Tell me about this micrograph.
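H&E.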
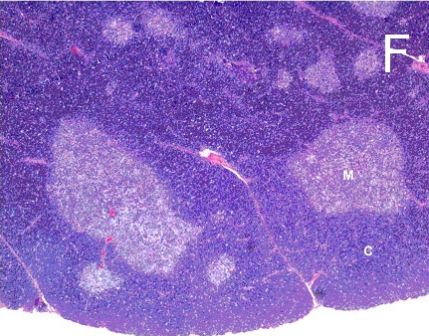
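Thymic lobules show a dense dark purple outer zone of tightly packed lymphocytes surrounding pale, less cellular central islands, with thin septa and small vessels between lobules. The sharp boundary between the dark cortex and the pale medulla gives a clear corticomedullary contrast.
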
